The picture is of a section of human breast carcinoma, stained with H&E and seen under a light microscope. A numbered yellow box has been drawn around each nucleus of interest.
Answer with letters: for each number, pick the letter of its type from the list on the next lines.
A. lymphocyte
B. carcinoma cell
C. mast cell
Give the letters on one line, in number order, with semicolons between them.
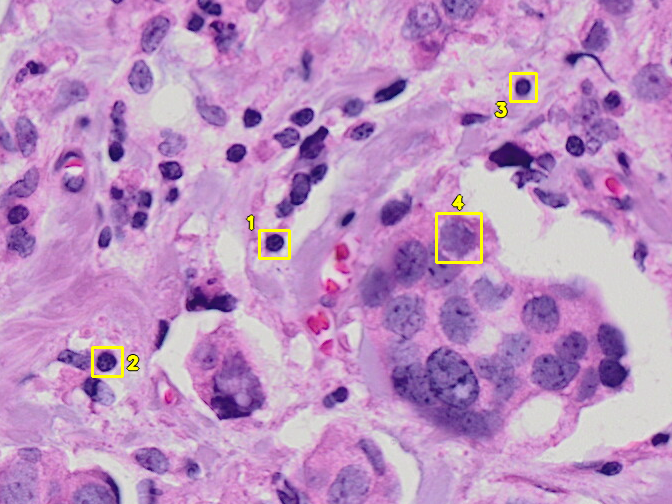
A; A; A; B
